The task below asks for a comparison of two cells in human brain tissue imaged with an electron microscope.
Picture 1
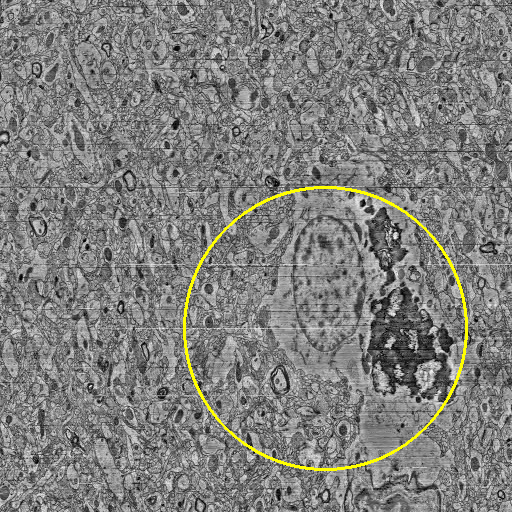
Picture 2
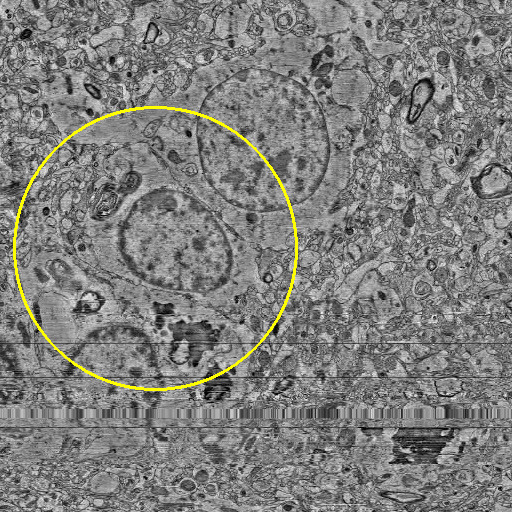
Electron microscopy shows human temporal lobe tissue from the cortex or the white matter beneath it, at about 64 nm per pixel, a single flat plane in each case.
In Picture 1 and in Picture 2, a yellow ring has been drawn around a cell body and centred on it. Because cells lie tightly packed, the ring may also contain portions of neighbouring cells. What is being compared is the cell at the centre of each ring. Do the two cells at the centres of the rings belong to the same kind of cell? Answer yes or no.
yes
